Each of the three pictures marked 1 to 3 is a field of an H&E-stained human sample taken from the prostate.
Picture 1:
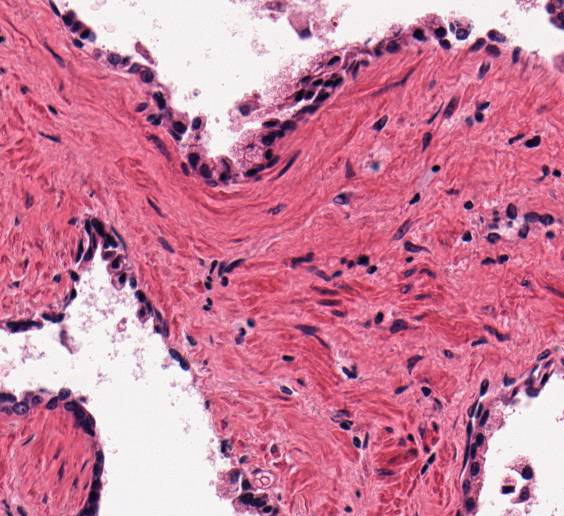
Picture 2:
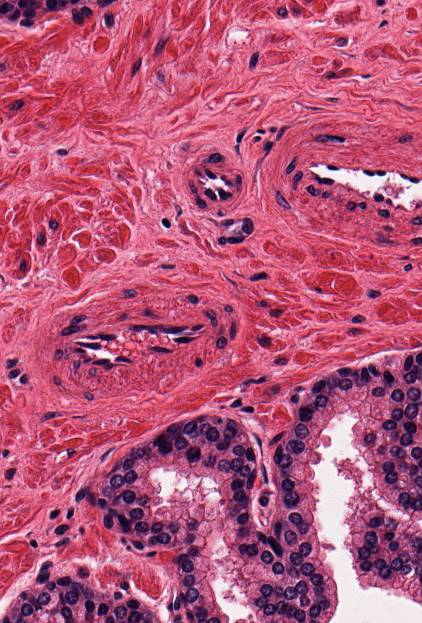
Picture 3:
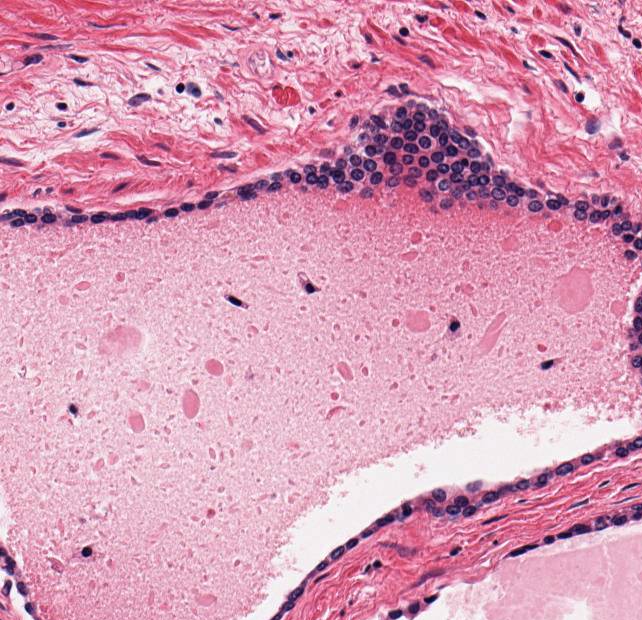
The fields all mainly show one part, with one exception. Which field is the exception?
3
